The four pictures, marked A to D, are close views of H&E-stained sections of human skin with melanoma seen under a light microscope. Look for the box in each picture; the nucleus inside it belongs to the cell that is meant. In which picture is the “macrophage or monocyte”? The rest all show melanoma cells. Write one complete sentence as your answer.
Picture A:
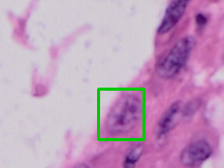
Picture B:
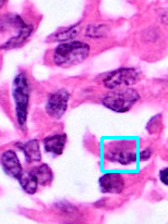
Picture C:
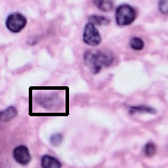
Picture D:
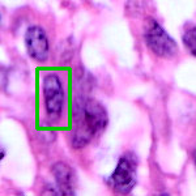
Picture C is the one that shows the “macrophage or monocyte”.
